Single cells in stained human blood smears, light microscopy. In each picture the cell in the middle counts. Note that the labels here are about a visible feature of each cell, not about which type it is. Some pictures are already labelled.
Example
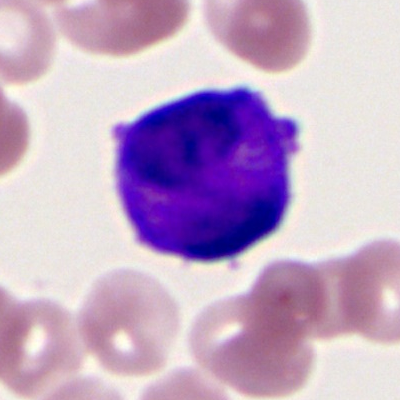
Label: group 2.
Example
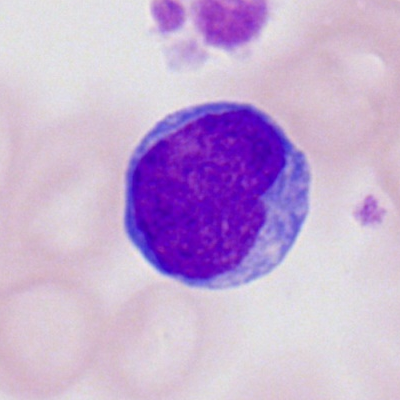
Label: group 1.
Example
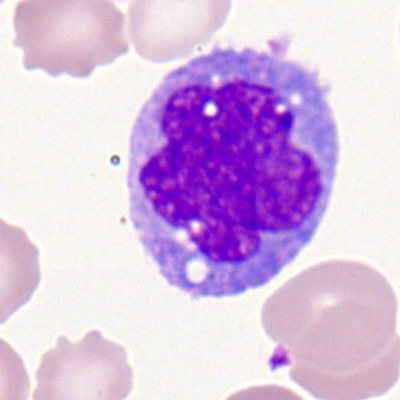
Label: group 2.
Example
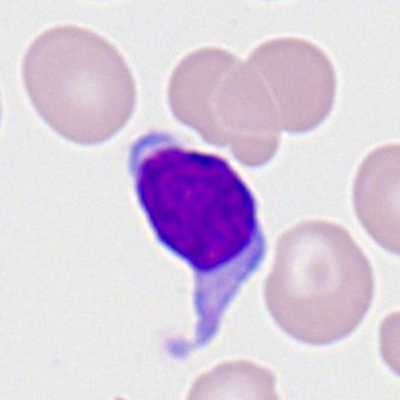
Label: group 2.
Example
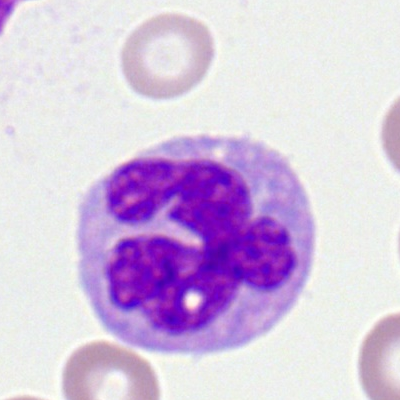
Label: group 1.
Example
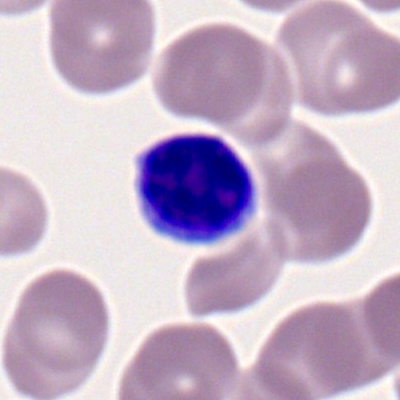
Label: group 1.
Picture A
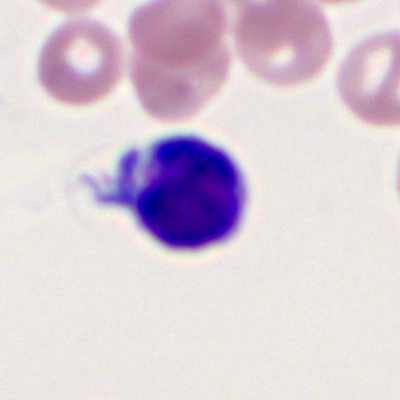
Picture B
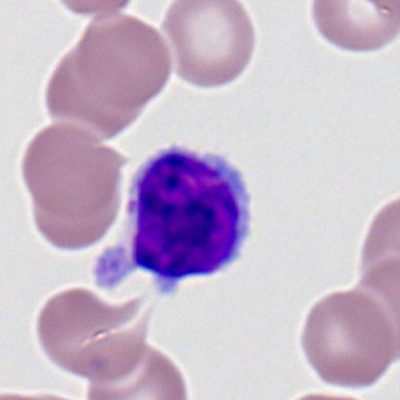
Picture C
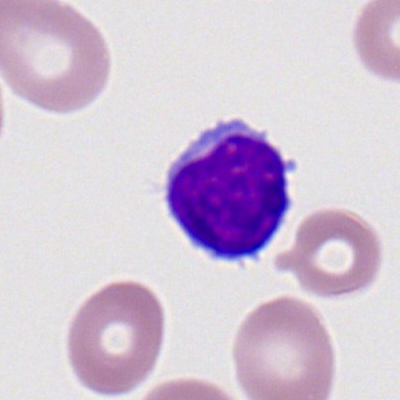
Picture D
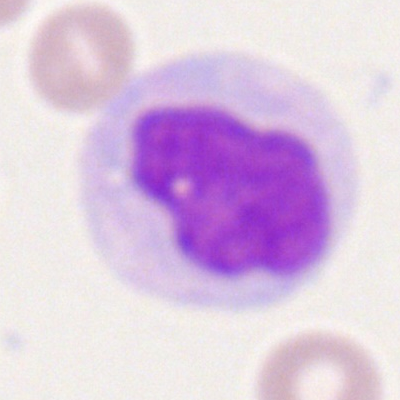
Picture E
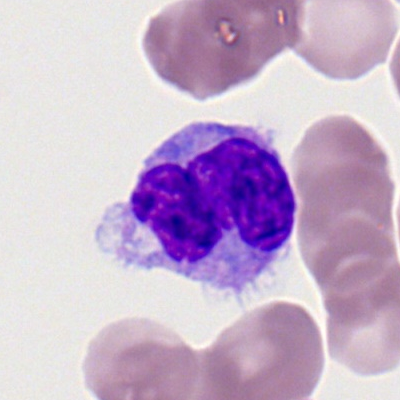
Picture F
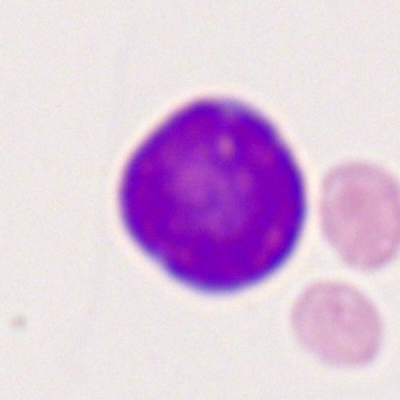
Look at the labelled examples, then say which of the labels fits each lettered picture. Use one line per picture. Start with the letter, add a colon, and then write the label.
A: group 2.
B: group 2.
C: group 2.
D: group 1.
E: group 2.
F: group 1.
